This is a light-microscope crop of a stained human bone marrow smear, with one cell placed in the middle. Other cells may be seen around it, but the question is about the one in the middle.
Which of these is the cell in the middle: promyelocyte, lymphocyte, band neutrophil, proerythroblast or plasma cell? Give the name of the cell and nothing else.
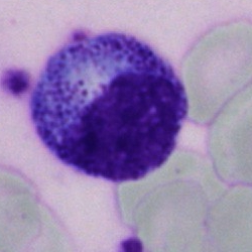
promyelocyte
